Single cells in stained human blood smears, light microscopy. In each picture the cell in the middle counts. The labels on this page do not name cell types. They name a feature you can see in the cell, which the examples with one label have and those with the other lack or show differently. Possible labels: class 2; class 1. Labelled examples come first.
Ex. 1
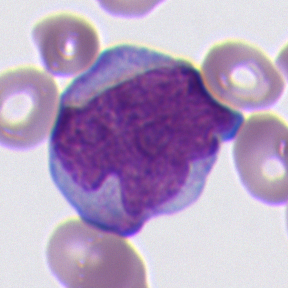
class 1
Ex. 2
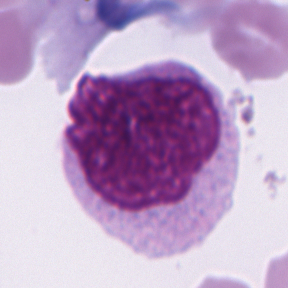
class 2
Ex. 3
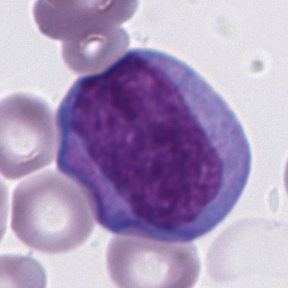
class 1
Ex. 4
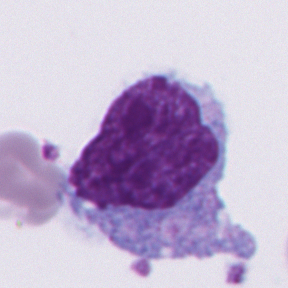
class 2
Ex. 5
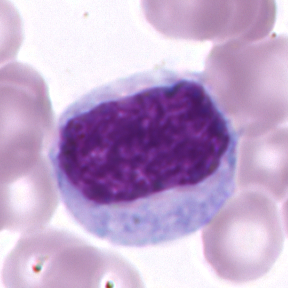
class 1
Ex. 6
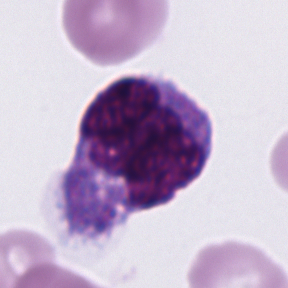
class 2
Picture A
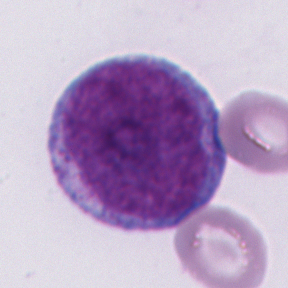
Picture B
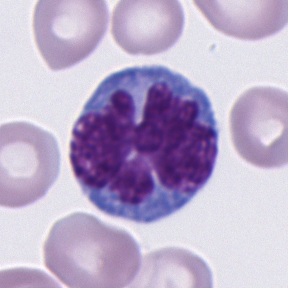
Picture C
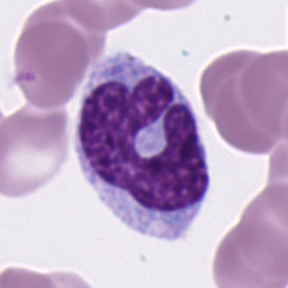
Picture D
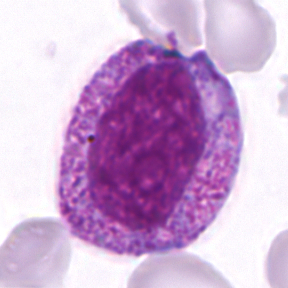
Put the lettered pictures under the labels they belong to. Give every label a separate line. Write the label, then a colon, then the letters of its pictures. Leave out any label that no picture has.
class 2: C, D
class 1: A, B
